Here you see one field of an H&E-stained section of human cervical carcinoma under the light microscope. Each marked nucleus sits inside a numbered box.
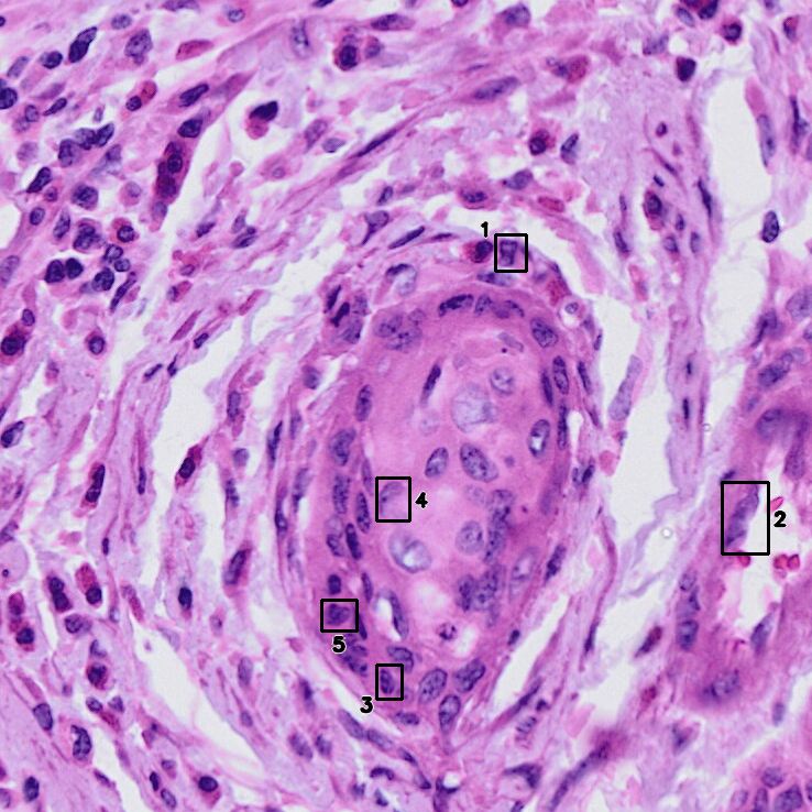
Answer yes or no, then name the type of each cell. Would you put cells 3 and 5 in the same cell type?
Yes, the pair of cells 3 and 5 are both squamous carcinoma cells.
